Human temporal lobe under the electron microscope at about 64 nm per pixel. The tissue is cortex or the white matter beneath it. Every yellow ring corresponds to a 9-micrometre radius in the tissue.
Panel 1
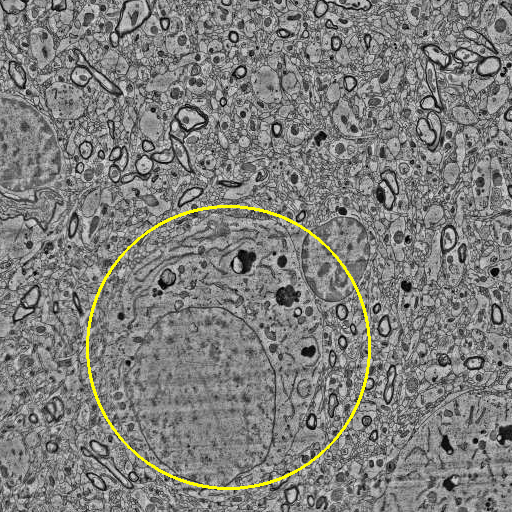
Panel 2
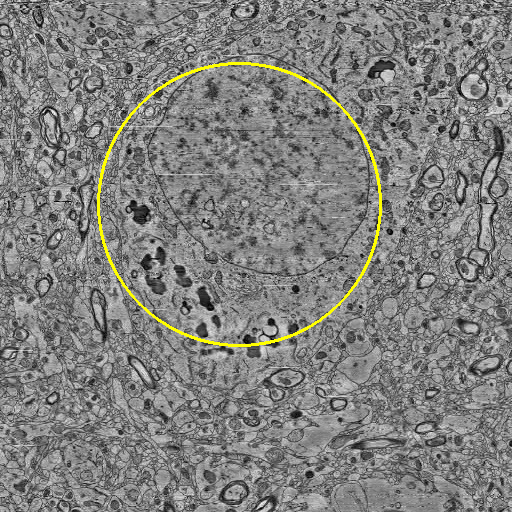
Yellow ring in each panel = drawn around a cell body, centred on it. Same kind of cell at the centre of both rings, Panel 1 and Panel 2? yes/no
yes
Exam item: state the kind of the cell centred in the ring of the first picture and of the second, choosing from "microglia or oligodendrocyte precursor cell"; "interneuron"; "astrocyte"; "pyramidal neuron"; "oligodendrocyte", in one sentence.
The second cell is a pyramidal neuron, just as the first is.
